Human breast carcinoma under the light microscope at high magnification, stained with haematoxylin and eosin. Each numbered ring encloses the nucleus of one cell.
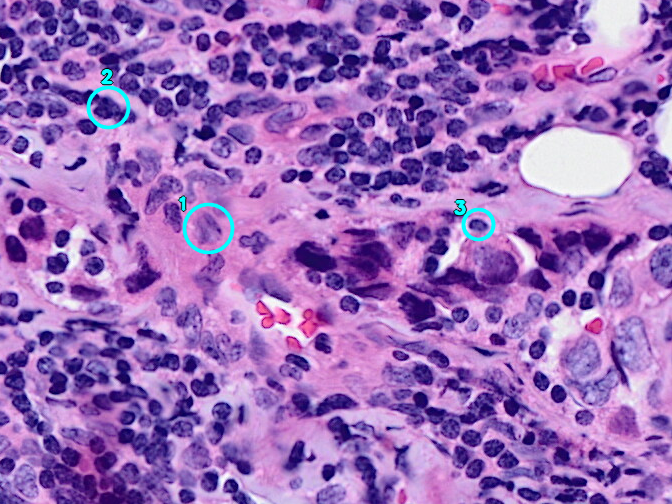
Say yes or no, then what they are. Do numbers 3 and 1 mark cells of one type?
No, as to type, cell 3 is a lymphocyte, and cell 1 is an endothelial cell.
